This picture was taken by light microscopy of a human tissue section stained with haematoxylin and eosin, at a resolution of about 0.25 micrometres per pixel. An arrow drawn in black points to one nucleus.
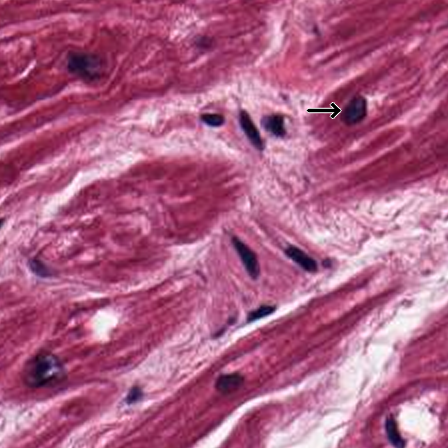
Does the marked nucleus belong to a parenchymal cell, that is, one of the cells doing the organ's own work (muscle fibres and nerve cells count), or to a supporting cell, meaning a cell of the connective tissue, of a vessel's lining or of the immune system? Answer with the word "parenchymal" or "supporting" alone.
parenchymal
